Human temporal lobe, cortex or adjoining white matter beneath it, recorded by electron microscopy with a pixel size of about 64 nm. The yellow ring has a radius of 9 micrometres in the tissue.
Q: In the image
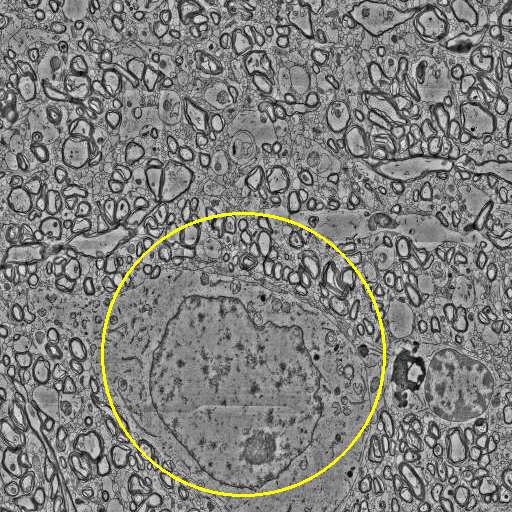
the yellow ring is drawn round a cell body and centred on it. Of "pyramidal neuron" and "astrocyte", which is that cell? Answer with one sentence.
The cell centred in the ring is a pyramidal neuron.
